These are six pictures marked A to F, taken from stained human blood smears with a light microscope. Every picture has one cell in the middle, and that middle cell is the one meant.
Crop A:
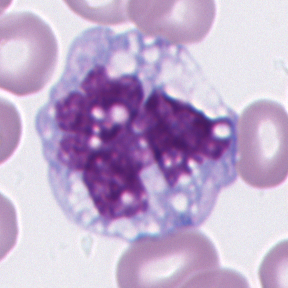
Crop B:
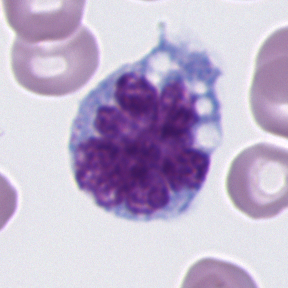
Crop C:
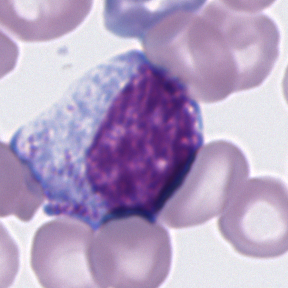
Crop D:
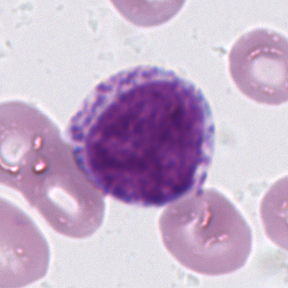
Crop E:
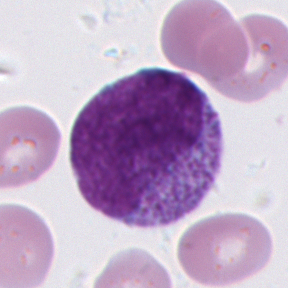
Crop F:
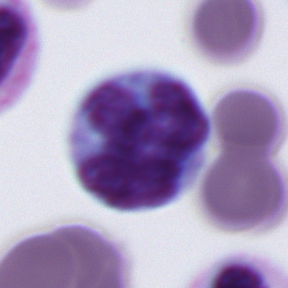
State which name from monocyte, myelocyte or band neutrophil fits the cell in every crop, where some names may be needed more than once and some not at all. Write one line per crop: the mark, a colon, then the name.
A: monocyte
B: monocyte
C: myelocyte
D: myelocyte
E: myelocyte
F: monocyte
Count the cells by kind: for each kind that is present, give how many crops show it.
monocyte: 3
myelocyte: 3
